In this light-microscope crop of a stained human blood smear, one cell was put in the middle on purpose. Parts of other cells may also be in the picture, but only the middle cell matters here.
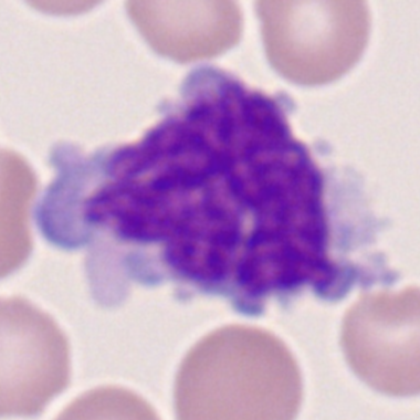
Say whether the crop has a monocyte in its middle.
yes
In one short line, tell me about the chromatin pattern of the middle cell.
Answer: the chromatin in this nucleus is coarsely clumped.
